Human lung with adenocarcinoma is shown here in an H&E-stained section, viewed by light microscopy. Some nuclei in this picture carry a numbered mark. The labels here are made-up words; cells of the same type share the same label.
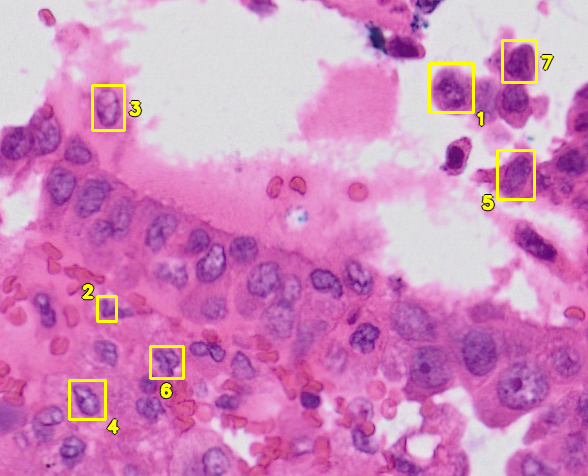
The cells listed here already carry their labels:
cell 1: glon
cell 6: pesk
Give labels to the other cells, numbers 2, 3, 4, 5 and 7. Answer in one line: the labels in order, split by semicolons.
pesk; pesk; pesk; glon; glon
